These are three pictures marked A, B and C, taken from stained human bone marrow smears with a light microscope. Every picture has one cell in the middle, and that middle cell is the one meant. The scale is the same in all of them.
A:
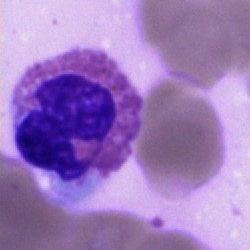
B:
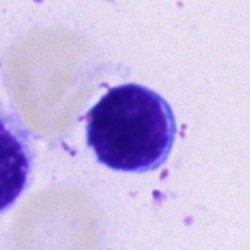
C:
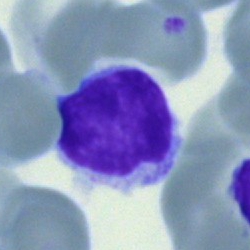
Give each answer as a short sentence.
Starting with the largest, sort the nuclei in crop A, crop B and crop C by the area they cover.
The order is C, A, B, beginning with the largest.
